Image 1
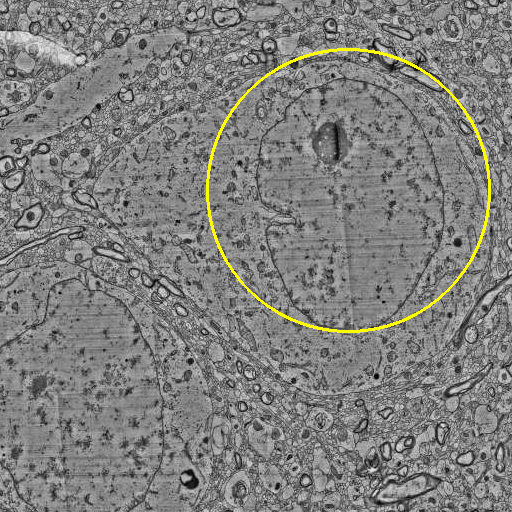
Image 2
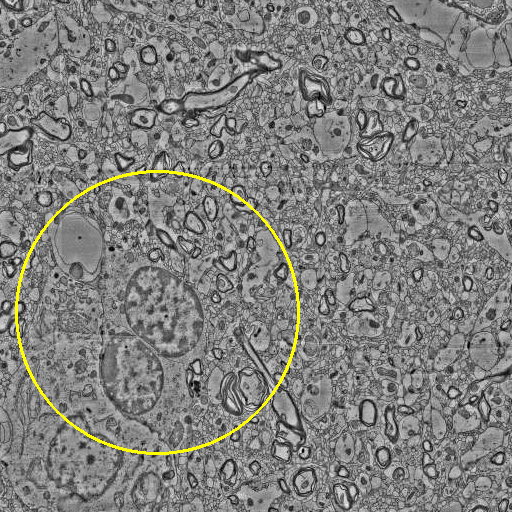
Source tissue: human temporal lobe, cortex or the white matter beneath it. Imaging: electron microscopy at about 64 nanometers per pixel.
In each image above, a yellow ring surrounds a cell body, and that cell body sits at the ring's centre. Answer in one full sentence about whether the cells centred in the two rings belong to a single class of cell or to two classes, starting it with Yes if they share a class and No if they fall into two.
No, the cells centred in the two yellow rings belong to two classes of cell.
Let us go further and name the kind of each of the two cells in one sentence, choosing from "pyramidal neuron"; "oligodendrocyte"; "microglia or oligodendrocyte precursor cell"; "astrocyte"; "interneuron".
The ring of the first picture is on a pyramidal neuron, the ring of the second on an oligodendrocyte.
